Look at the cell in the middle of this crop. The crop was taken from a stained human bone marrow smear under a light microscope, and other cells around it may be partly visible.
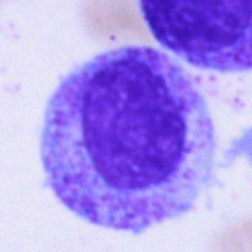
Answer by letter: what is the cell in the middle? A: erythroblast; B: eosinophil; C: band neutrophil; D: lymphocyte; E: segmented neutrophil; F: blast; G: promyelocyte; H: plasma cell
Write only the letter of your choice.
G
